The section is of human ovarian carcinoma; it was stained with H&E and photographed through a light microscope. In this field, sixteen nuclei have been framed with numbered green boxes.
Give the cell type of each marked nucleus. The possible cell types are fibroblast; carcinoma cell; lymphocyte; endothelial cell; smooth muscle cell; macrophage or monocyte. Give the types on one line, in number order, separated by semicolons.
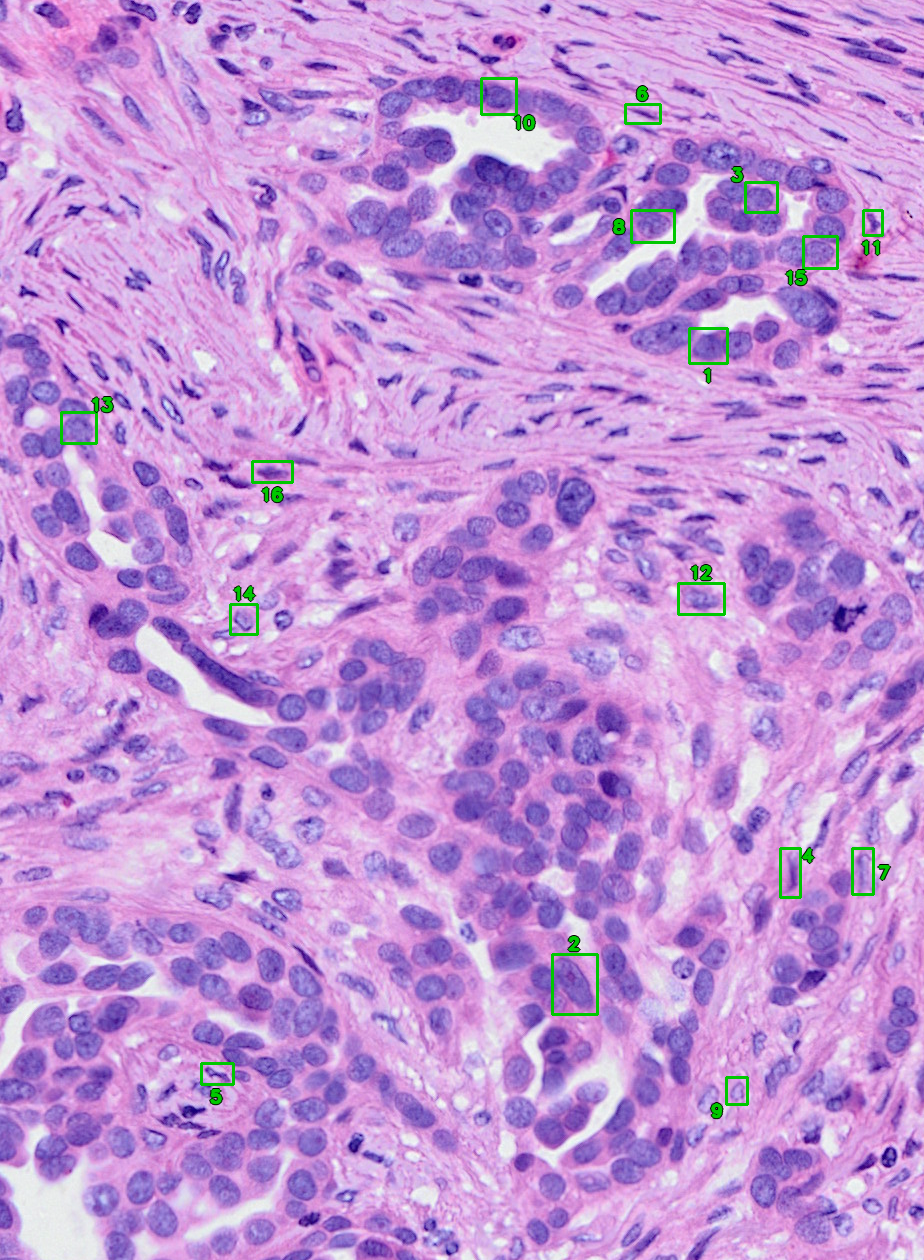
carcinoma cell; carcinoma cell; carcinoma cell; fibroblast; fibroblast; fibroblast; fibroblast; carcinoma cell; fibroblast; carcinoma cell; fibroblast; fibroblast; carcinoma cell; fibroblast; carcinoma cell; fibroblast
